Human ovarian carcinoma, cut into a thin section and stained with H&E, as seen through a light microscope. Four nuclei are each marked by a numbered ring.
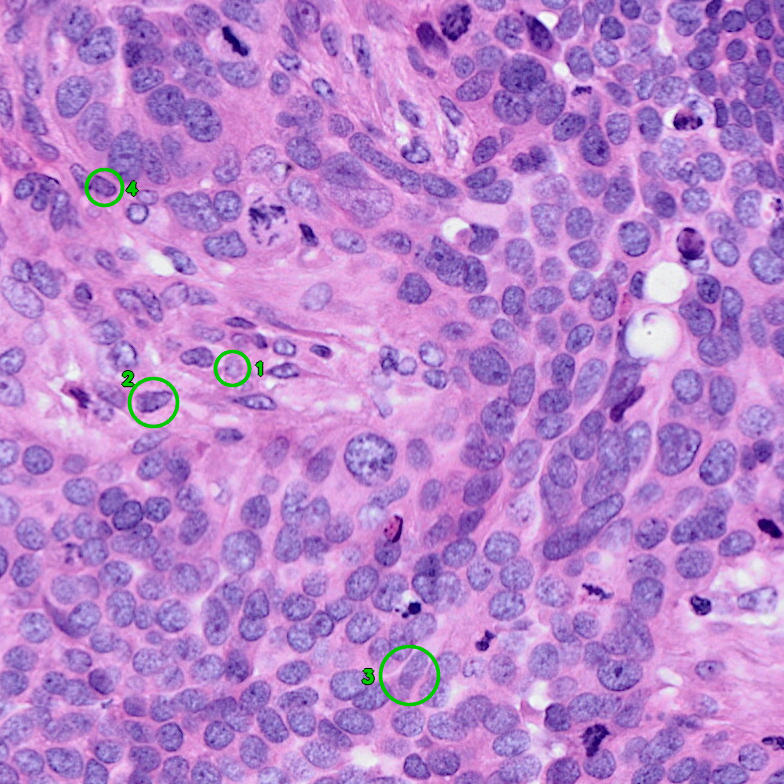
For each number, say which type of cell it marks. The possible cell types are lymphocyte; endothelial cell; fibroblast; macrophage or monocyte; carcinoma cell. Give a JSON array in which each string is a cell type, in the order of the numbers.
["fibroblast", "macrophage or monocyte", "carcinoma cell", "macrophage or monocyte"]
